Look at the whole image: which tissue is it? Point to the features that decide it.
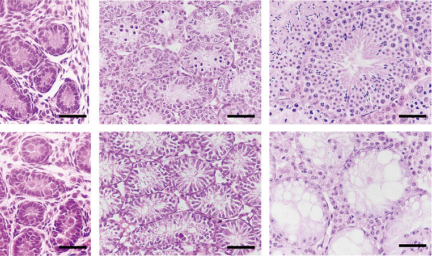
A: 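Tubules in the top right image contain layered cells around a central lumen. That points to this answer: testes.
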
